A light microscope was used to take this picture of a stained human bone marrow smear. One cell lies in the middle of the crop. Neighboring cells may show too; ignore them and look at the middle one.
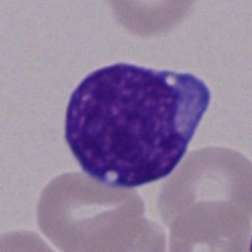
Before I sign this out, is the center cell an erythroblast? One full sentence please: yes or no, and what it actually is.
No, the central cell is properly termed a blast, not an erythroblast.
